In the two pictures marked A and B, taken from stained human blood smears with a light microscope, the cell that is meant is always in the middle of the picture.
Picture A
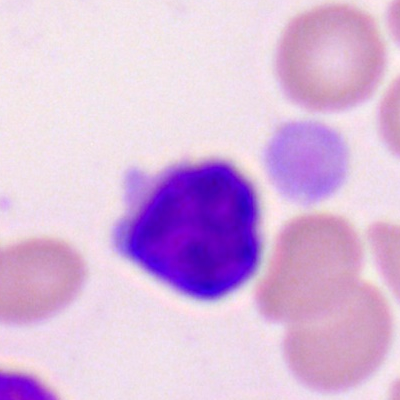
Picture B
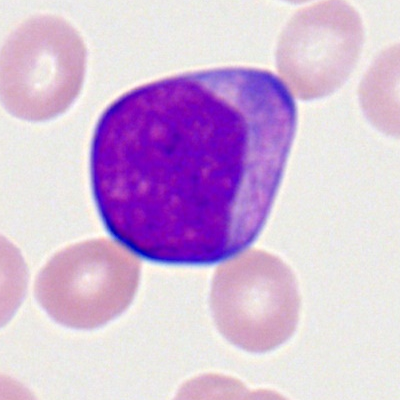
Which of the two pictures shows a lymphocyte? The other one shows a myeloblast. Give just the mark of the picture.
A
